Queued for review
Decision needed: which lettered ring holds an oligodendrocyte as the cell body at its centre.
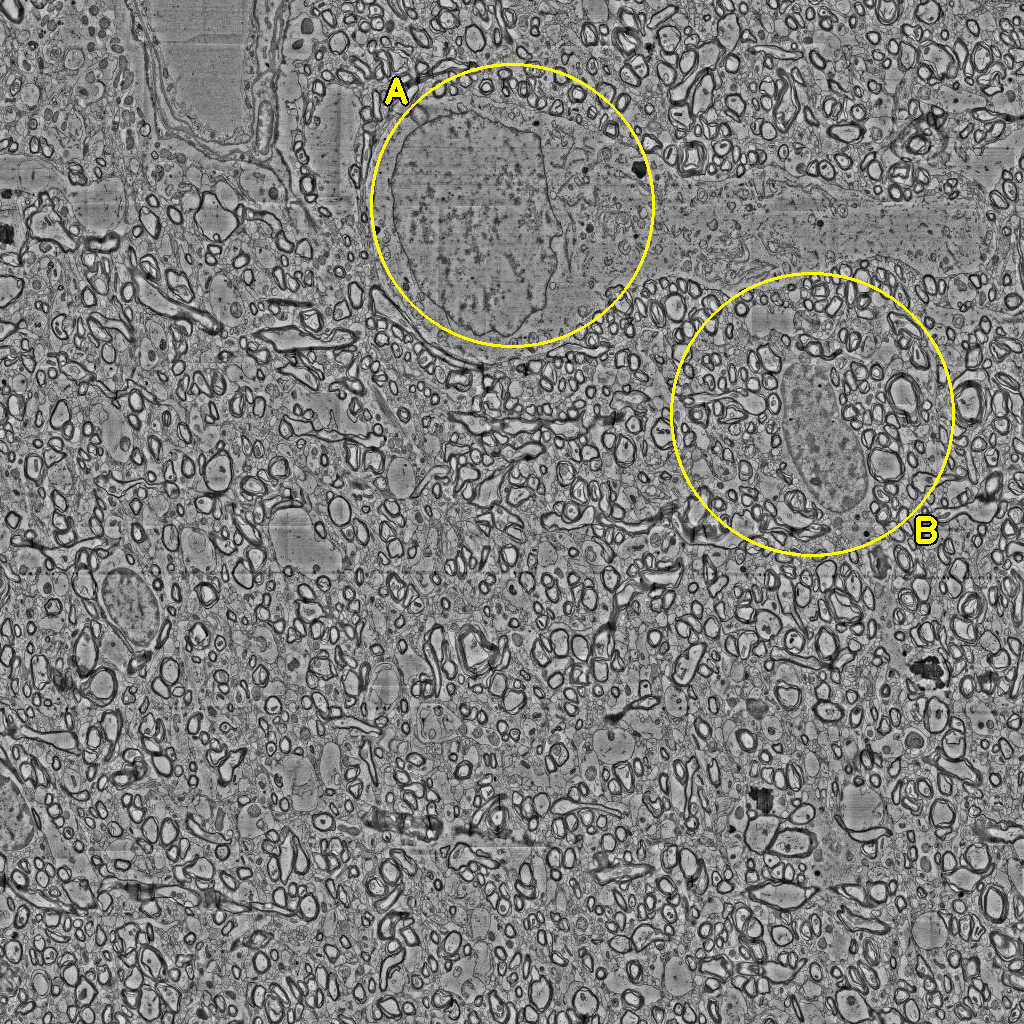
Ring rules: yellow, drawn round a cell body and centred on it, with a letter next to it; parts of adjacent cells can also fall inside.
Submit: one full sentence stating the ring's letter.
The cell asked for is the one at the centre of ring B in the picture.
